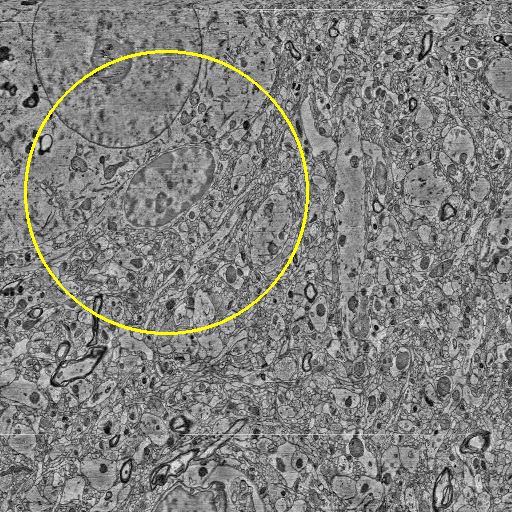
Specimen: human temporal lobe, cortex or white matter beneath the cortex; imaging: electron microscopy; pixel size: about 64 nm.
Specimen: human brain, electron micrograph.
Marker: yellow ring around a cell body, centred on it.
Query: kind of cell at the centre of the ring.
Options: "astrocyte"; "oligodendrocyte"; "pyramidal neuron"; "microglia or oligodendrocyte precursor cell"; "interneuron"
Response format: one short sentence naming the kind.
This cell body belongs to a microglial cell or oligodendrocyte precursor cell.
